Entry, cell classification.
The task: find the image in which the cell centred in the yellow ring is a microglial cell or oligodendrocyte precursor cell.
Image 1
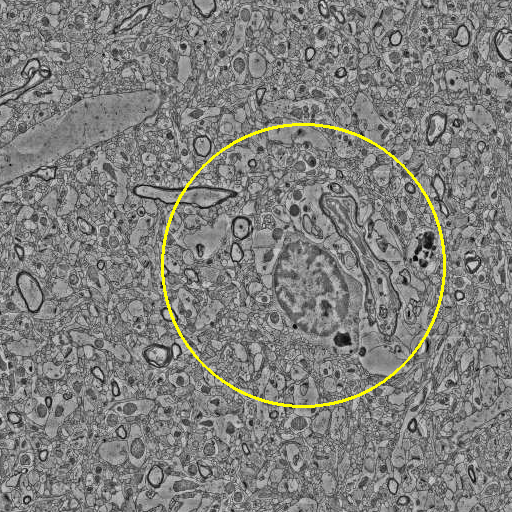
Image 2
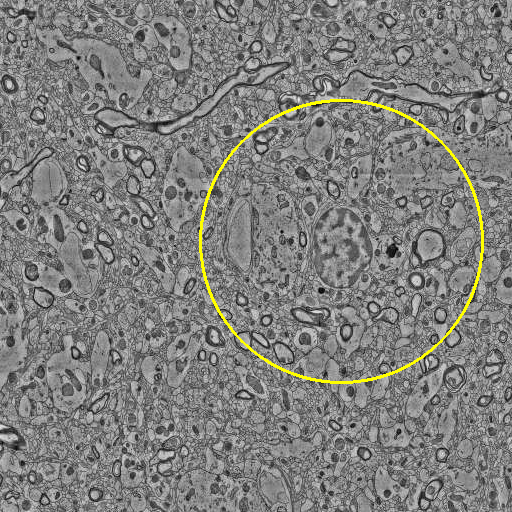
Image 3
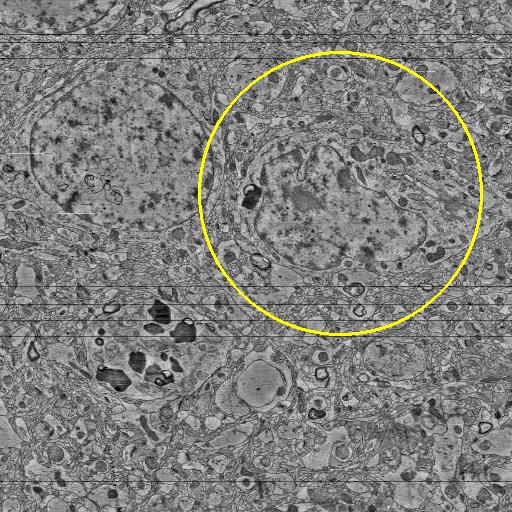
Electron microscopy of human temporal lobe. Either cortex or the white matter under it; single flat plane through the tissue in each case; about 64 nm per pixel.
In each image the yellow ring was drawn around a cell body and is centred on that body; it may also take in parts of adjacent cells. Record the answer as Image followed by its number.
Image 2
